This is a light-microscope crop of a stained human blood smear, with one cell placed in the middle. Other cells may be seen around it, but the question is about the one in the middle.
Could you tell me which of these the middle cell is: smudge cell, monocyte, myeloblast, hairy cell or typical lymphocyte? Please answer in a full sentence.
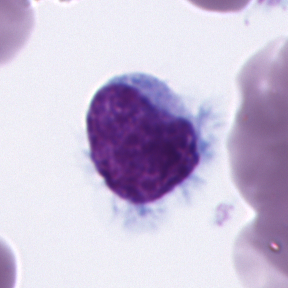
As for the cell in the middle, it is a hairy cell.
